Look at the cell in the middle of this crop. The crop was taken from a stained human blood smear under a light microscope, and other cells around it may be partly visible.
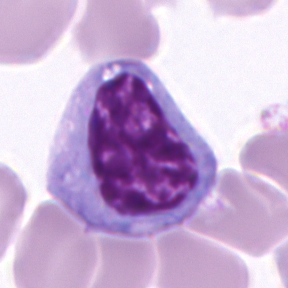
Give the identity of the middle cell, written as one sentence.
Classification of the middle cell gives a plasma cell.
